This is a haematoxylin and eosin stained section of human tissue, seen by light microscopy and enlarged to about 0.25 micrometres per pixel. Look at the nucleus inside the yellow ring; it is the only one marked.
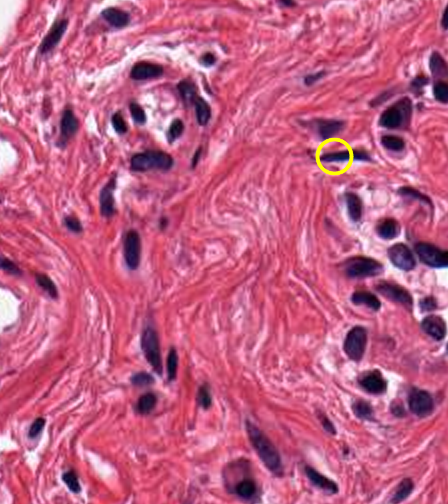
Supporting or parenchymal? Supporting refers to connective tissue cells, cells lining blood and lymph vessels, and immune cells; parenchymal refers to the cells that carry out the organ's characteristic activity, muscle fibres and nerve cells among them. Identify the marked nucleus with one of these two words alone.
supporting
